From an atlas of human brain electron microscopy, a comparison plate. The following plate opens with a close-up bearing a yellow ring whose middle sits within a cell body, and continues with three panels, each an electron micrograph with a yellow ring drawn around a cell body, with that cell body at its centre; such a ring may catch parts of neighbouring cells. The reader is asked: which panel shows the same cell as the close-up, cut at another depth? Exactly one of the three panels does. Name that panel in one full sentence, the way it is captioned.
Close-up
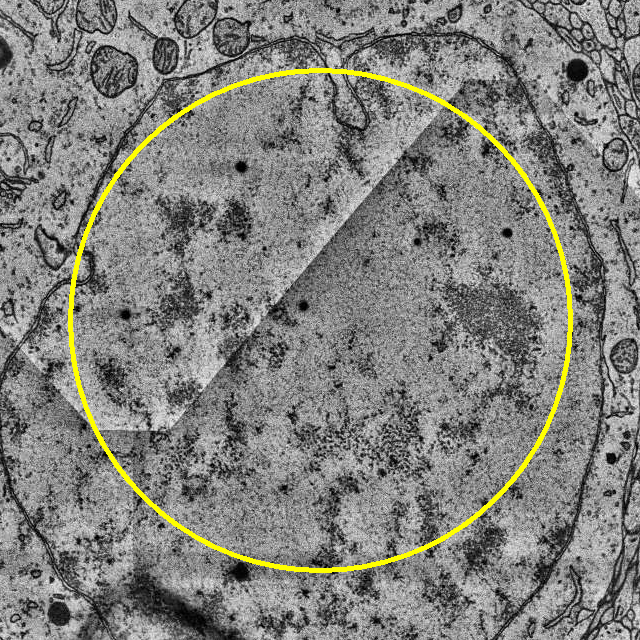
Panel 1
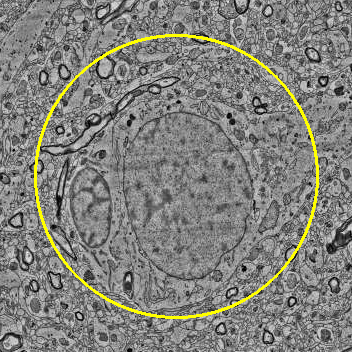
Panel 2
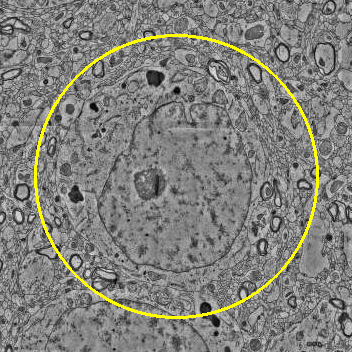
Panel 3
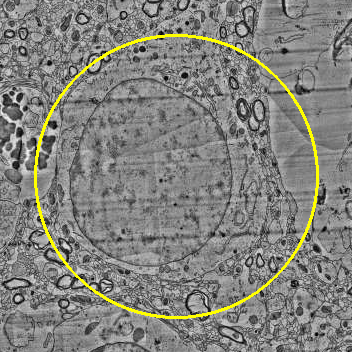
The cell shown in the close-up is the one marked in Panel 2.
